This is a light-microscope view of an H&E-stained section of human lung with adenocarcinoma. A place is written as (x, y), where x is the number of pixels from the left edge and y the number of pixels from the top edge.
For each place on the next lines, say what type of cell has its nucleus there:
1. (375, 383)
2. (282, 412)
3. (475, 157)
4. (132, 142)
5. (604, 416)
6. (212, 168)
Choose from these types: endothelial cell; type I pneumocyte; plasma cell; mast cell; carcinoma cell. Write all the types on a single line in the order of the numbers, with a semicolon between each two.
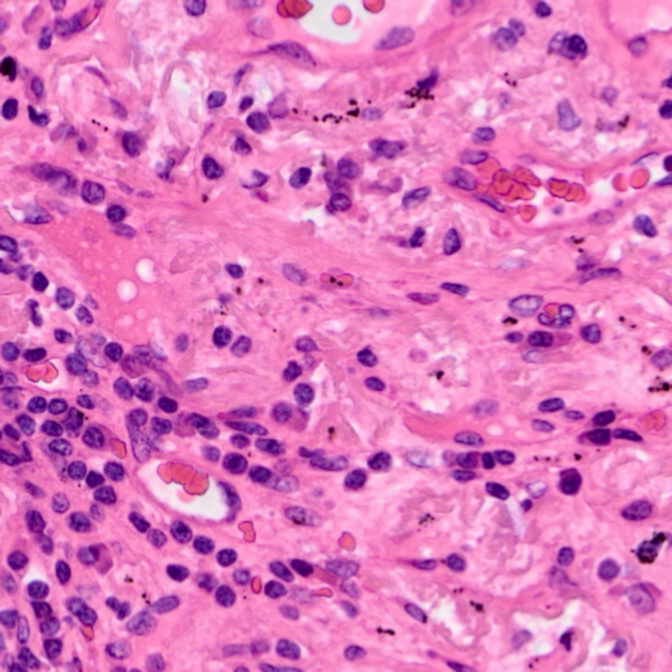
mast cell; plasma cell; endothelial cell; plasma cell; plasma cell; plasma cell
